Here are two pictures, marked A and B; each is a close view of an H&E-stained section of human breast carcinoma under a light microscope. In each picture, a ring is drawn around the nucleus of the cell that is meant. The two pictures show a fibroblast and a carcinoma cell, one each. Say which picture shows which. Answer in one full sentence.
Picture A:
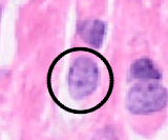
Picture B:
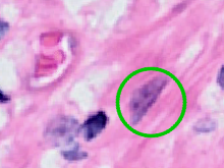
Picture A shows a carcinoma cell and picture B shows a fibroblast.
